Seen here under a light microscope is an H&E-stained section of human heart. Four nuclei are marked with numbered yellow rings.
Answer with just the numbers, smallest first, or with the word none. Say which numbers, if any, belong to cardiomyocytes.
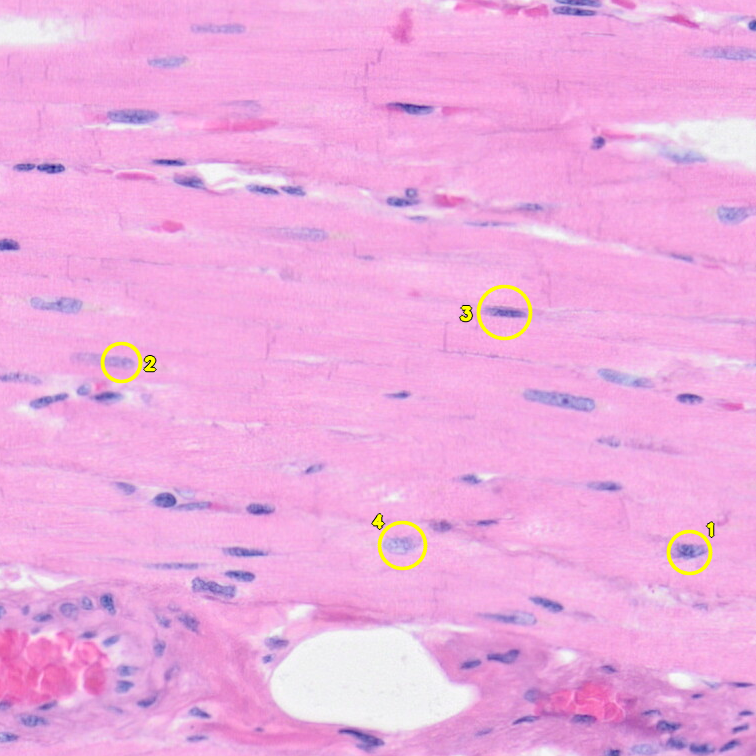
2, 4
